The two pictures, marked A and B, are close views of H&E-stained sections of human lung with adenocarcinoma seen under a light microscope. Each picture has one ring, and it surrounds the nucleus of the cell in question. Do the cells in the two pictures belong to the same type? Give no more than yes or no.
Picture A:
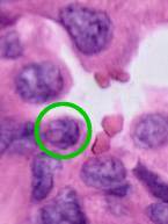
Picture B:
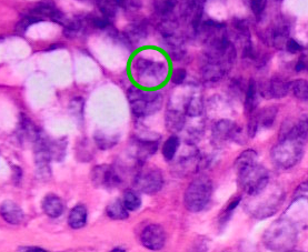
no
